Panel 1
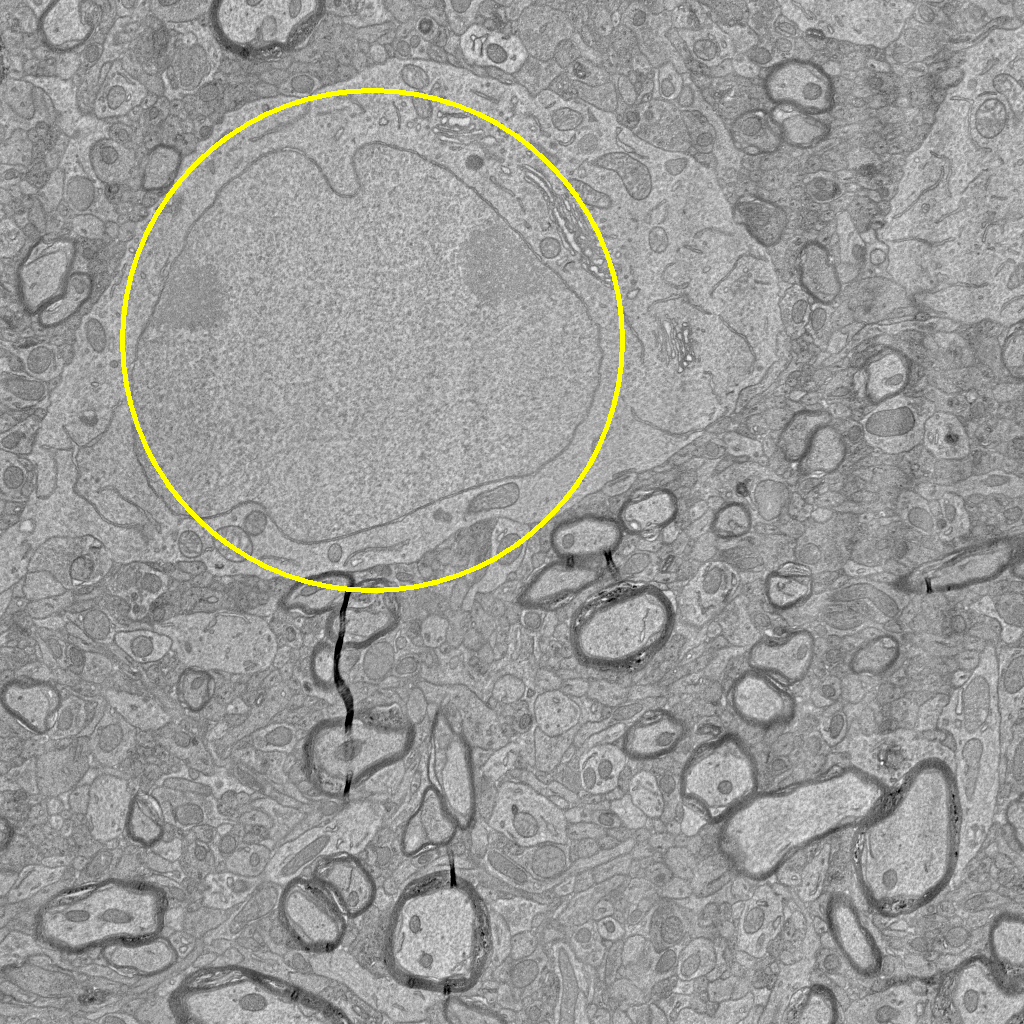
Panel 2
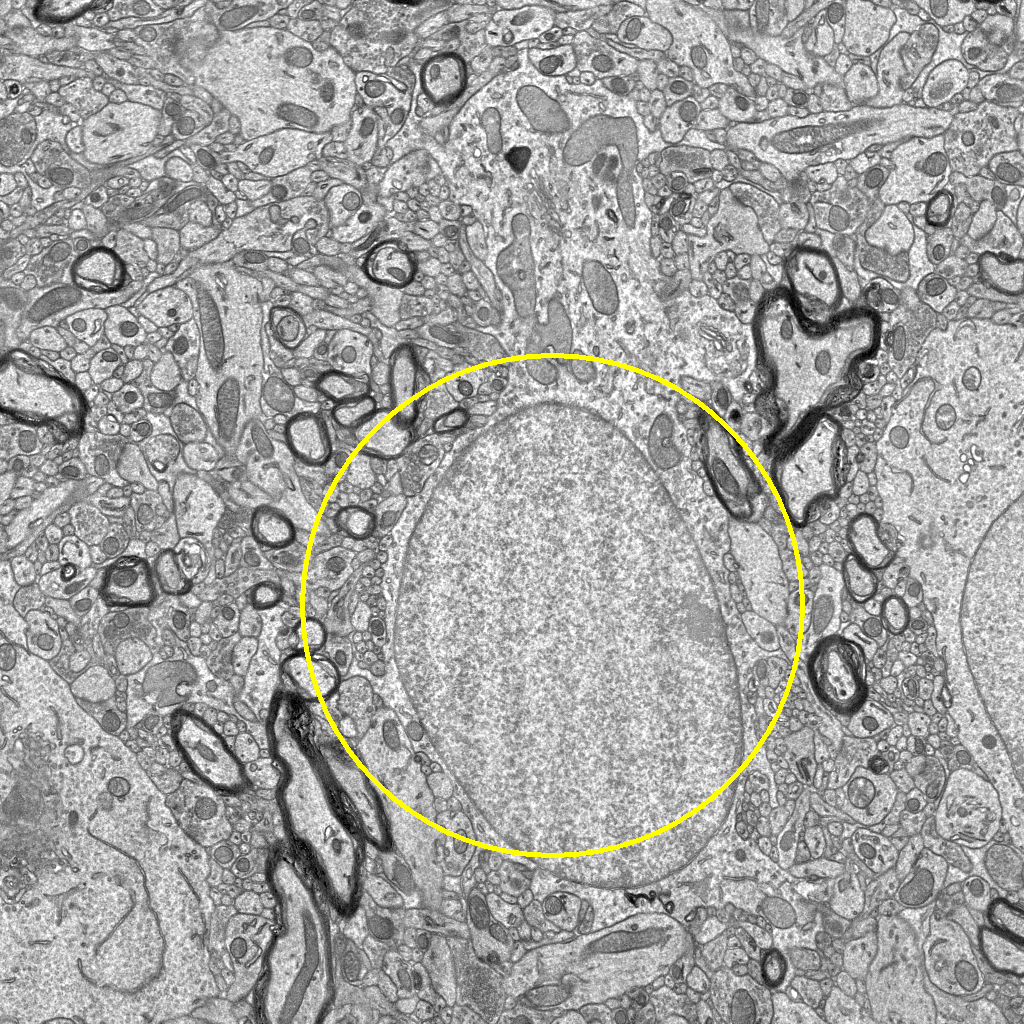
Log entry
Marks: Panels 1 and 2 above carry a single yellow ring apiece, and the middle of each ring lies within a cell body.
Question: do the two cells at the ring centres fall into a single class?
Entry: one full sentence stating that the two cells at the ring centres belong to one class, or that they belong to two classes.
The two cells at the ring centres in Panels 1 and 2 belong to two classes.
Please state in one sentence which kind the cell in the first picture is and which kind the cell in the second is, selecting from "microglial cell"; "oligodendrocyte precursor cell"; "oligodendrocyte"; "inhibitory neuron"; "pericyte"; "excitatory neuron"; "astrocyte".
In the first picture it is an excitatory neuron; in the second it is an astrocyte.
